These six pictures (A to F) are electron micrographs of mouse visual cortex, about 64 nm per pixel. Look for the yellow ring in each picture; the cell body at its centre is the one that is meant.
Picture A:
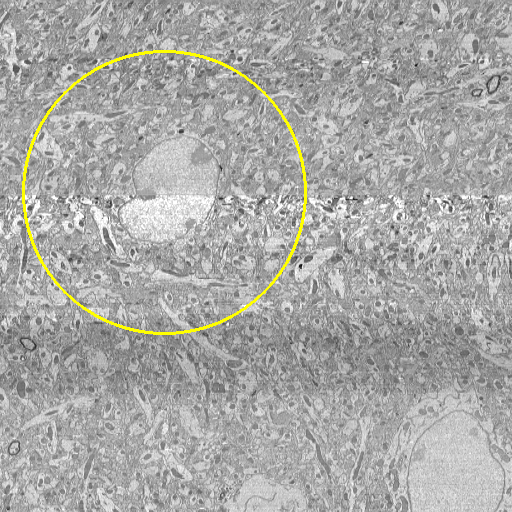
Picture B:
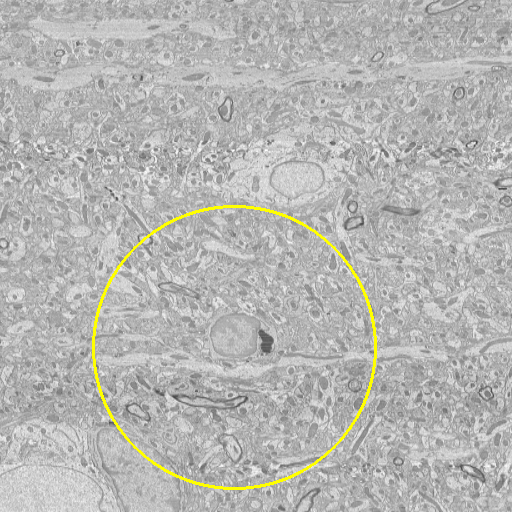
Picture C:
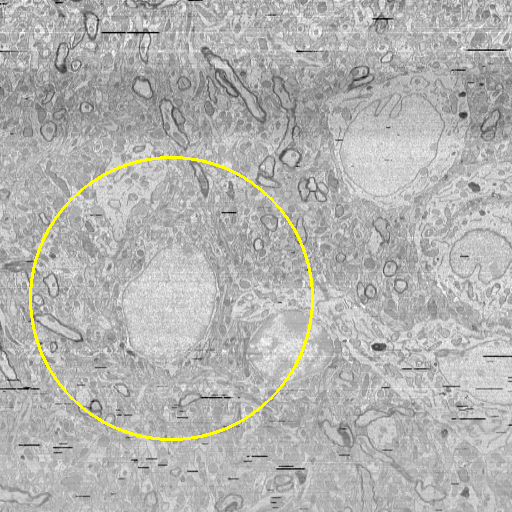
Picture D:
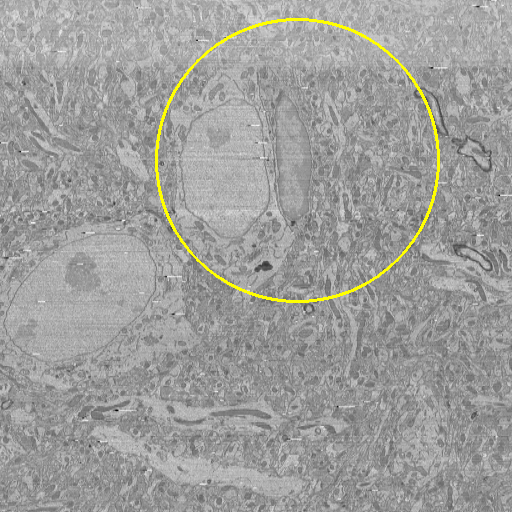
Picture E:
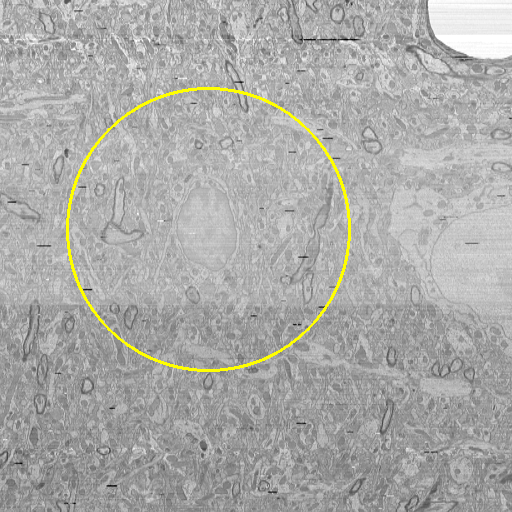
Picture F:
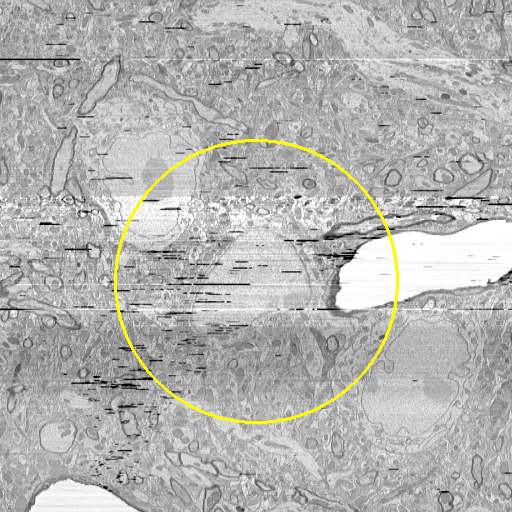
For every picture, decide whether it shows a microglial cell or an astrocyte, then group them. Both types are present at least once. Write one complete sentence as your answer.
Pictures B, D and E show microglial cells, while pictures A, C and F show astrocytes.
